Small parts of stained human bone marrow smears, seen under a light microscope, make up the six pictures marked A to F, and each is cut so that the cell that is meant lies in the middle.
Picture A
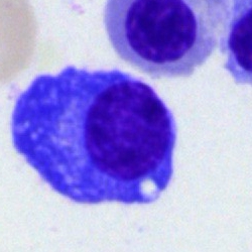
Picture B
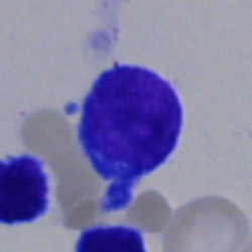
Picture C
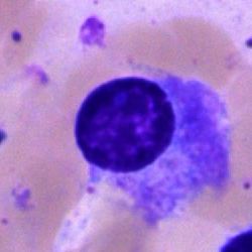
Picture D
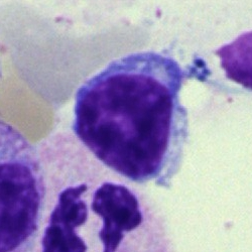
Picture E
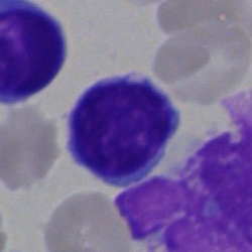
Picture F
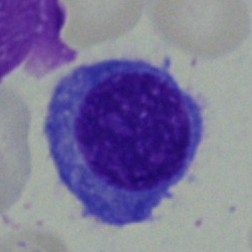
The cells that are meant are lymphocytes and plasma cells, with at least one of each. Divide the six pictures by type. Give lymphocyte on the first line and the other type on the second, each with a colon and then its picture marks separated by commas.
lymphocyte: B, D, E
plasma cell: A, C, F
